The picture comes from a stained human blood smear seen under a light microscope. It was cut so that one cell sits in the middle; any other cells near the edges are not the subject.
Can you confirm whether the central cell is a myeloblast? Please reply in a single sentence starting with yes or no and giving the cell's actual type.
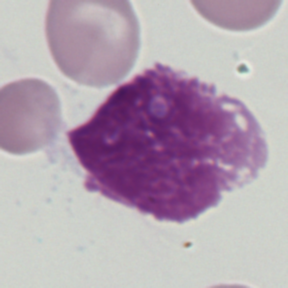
No, it is a smudge cell and not a myeloblast that occupies the middle of the crop.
